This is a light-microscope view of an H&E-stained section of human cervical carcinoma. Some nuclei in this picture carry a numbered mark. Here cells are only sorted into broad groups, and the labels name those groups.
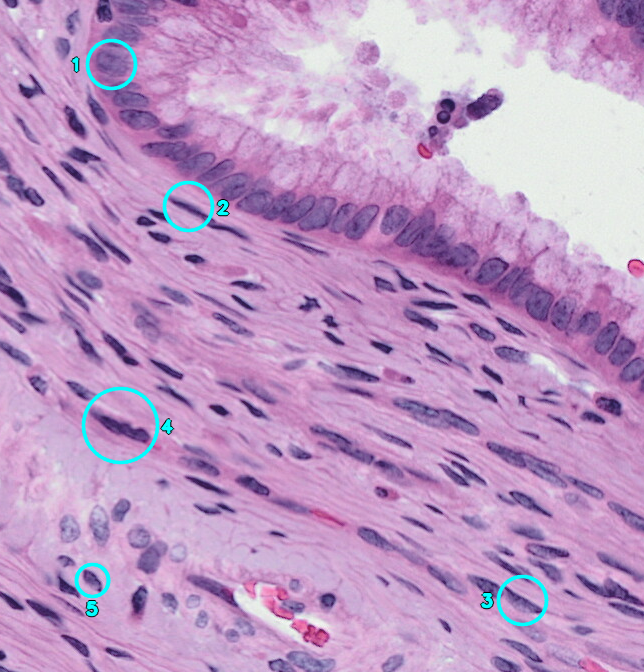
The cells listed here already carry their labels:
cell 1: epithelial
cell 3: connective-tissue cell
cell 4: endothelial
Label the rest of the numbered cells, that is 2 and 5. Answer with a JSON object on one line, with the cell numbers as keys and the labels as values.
{"2": "connective-tissue cell", "5": "connective-tissue cell"}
